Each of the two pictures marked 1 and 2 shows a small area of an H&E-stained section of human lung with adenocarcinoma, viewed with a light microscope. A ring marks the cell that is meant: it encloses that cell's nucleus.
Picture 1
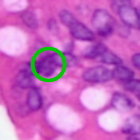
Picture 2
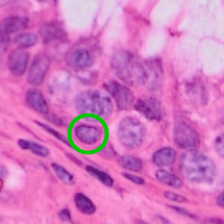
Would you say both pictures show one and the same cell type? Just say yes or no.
yes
